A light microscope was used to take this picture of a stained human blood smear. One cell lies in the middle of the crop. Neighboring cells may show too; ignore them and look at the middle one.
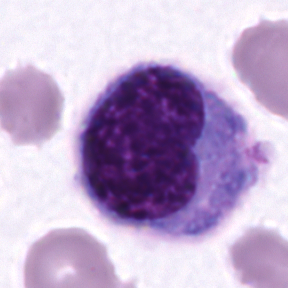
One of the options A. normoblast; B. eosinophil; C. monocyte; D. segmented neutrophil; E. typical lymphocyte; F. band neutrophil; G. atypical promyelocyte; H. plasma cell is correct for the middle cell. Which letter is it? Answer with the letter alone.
H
